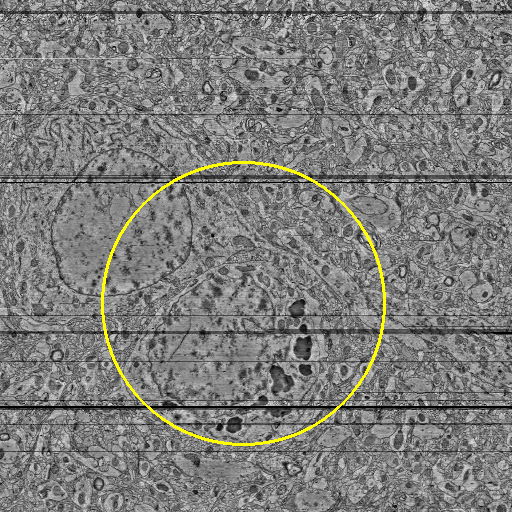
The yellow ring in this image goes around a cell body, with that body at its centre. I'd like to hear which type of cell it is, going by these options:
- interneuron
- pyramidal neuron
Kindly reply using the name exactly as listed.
interneuron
